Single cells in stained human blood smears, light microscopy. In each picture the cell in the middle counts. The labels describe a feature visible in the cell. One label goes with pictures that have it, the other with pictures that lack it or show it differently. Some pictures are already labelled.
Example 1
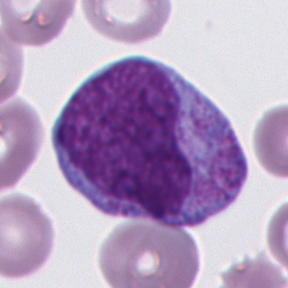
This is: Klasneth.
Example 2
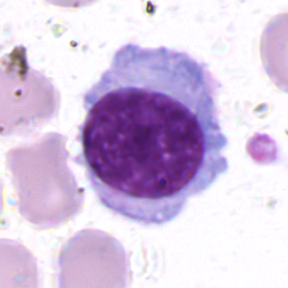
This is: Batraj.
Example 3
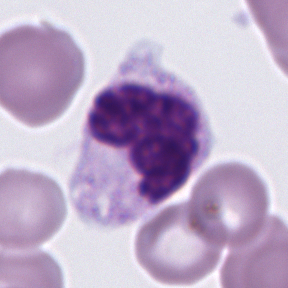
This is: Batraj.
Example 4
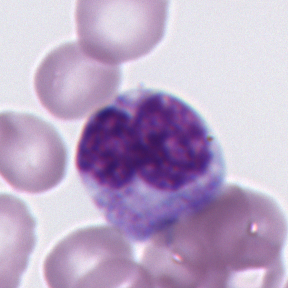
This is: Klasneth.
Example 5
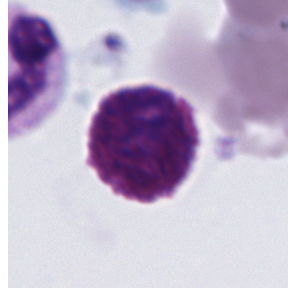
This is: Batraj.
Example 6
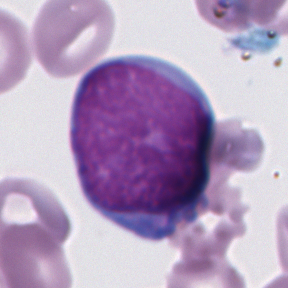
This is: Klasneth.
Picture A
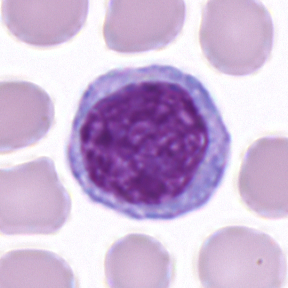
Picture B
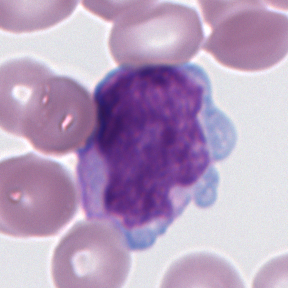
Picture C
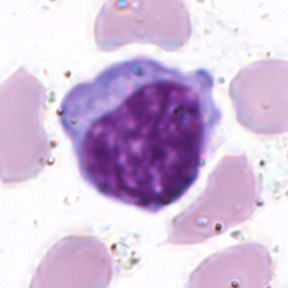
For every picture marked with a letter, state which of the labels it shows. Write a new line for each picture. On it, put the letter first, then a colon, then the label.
A: Klasneth.
B: Batraj.
C: Batraj.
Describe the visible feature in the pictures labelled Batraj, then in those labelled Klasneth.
Seen in Batraj: ragged outline or projections; seen in Klasneth: smooth outline.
